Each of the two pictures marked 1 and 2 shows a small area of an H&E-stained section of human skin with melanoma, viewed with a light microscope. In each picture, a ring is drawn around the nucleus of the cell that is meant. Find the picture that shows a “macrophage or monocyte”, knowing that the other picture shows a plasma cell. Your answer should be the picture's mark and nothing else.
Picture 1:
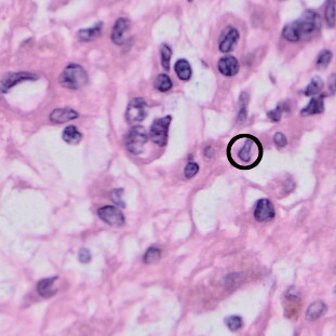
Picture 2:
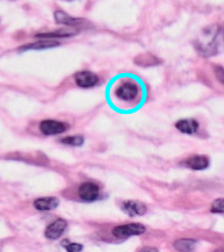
1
